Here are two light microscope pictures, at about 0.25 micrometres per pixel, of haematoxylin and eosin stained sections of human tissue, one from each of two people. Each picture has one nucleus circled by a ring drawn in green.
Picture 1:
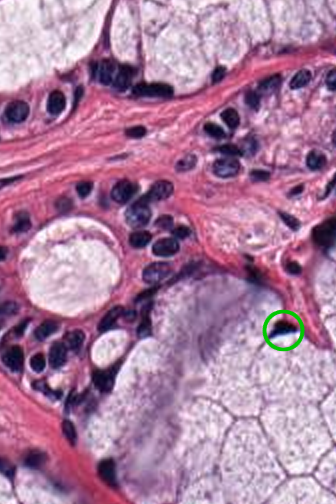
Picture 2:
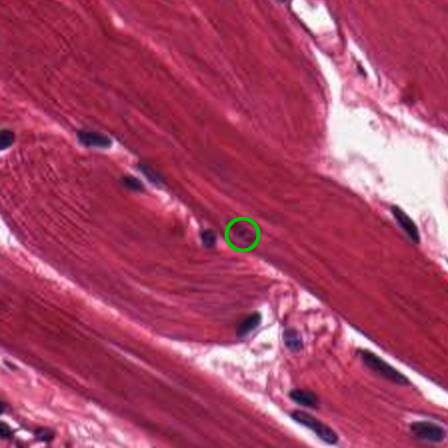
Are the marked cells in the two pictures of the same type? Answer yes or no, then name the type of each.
No, the first is a mucous gland cell and the second a skeletal muscle fibre.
